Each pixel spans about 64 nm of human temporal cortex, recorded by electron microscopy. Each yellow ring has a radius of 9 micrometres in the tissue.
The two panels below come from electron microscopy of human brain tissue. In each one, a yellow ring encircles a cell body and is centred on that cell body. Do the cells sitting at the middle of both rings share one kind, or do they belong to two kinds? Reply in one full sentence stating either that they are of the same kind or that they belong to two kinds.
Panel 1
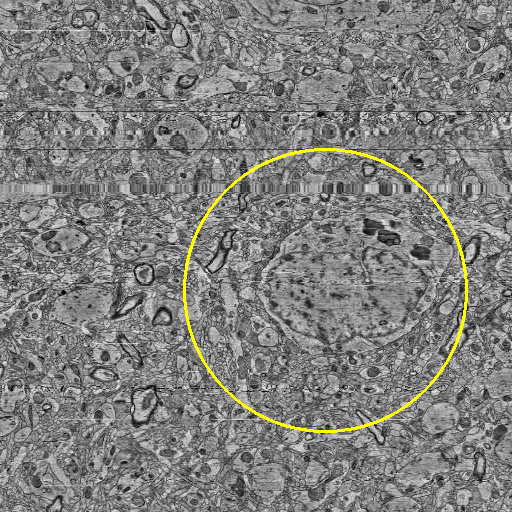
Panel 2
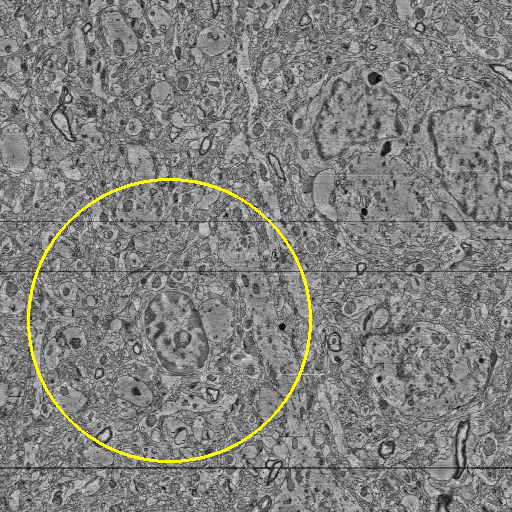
The cells at the centres of the two rings belong to two kinds.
